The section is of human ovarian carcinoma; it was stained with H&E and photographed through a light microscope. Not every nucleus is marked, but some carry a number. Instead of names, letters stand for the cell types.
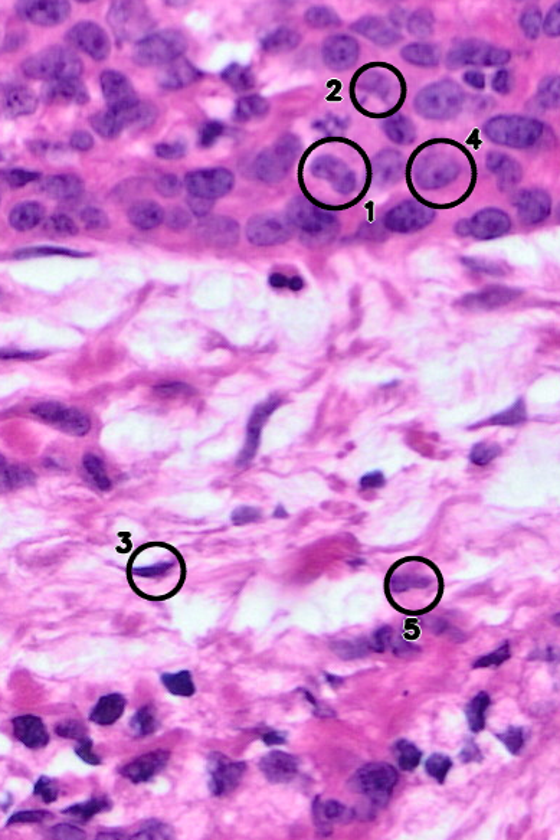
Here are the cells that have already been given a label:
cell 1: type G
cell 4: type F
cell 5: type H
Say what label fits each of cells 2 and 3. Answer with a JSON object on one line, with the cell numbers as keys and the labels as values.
{"2": "type F", "3": "type H"}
